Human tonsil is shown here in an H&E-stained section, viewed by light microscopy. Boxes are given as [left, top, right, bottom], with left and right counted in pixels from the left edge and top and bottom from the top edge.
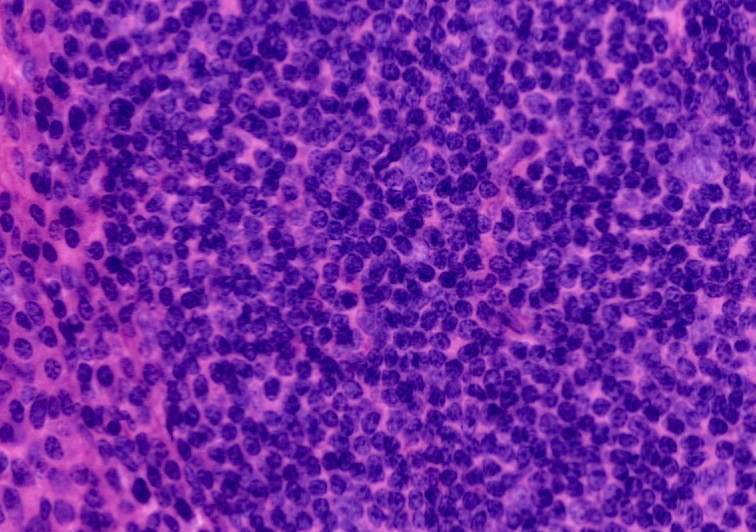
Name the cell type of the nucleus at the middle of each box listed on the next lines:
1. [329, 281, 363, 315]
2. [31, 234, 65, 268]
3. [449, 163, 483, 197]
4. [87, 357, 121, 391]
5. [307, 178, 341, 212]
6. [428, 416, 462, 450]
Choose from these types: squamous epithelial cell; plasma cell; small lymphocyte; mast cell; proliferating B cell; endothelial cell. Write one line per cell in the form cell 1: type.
cell 1: small lymphocyte
cell 2: plasma cell
cell 3: small lymphocyte
cell 4: plasma cell
cell 5: small lymphocyte
cell 6: small lymphocyte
